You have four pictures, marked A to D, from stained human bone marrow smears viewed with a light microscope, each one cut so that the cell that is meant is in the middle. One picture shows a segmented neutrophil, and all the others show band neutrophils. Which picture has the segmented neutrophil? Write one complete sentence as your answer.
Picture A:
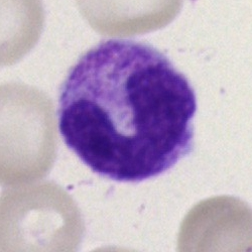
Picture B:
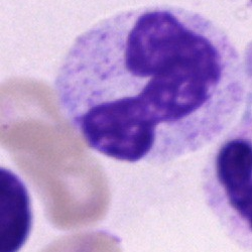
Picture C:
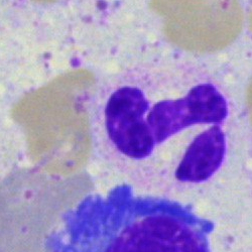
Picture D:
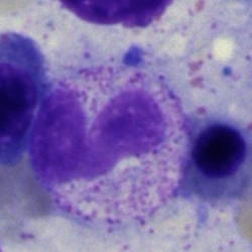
Picture C shows the segmented neutrophil.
